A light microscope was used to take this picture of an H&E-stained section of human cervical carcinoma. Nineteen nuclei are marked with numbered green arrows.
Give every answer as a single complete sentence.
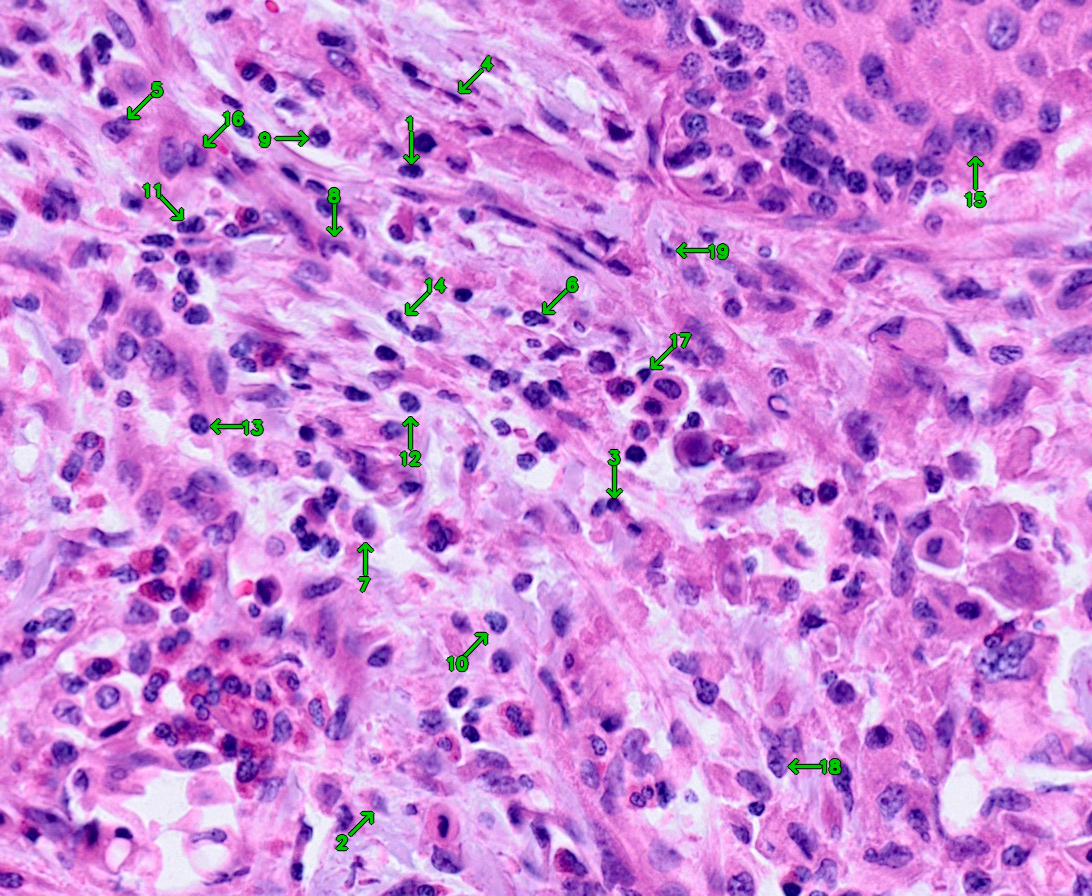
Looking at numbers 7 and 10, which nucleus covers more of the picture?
The larger nucleus is 7, at roughly 1.5 times the area of 10.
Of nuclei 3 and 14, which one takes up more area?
Nucleus 14 is larger, with an area about 1.5 times that of nucleus 3.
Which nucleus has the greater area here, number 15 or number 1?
Number 15 is larger; its area is about 4 times that of number 1.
